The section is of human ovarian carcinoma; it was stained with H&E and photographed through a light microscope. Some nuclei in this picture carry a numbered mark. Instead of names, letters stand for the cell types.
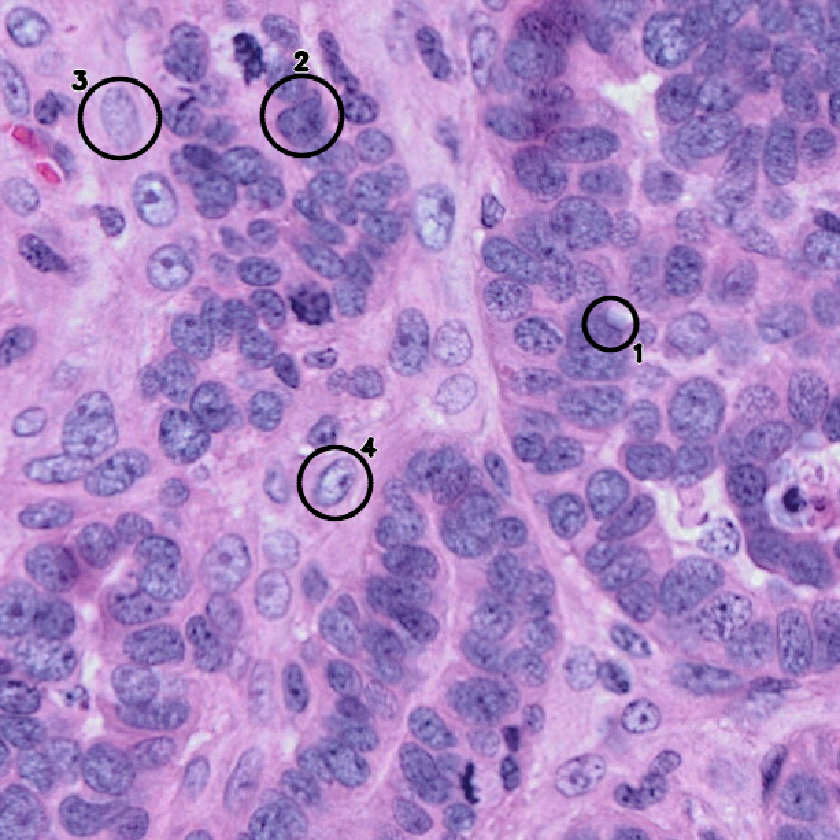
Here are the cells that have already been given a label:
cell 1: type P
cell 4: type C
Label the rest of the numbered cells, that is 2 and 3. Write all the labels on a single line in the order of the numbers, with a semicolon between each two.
type P; type C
